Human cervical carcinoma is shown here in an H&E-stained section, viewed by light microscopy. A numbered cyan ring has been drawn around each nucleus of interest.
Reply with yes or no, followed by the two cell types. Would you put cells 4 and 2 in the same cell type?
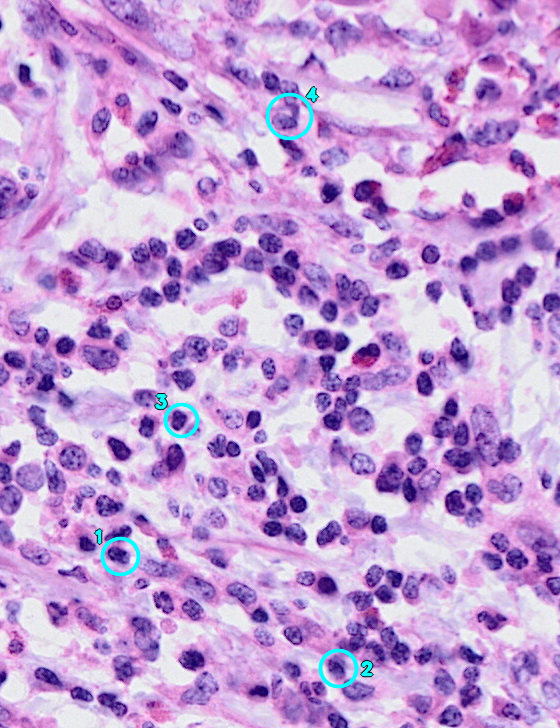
No, a lymphocyte is what cell 2 is, while cell 4 is a macrophage or monocyte.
